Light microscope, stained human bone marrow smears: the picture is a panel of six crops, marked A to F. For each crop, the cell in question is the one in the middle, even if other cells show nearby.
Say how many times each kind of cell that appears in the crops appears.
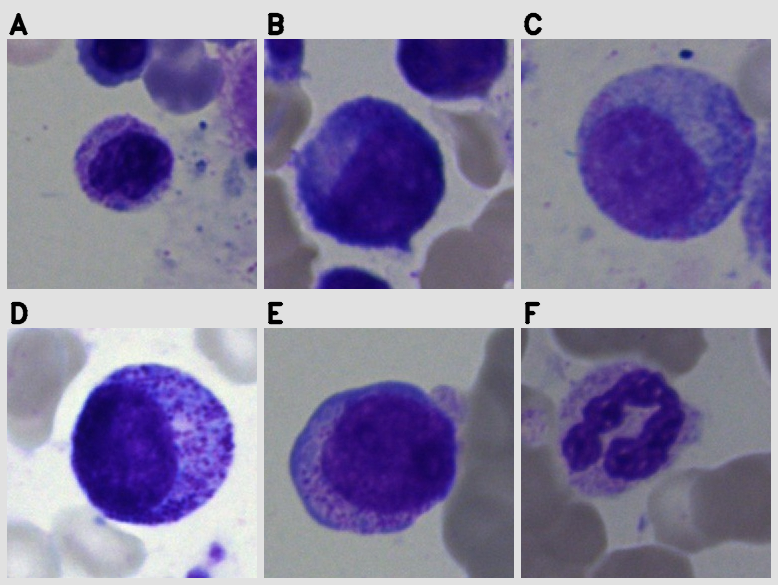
promyelocyte: 3
myelocyte: 2
segmented neutrophil: 1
